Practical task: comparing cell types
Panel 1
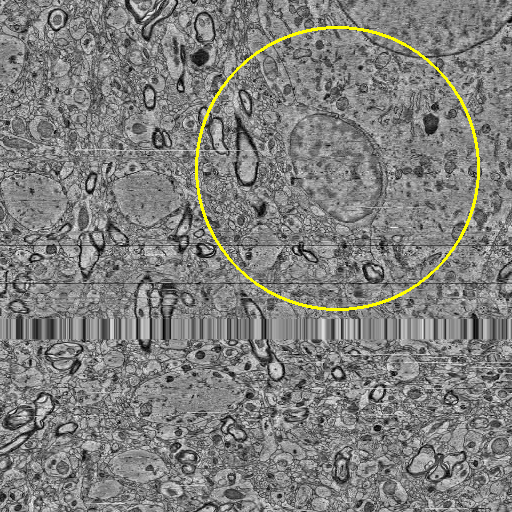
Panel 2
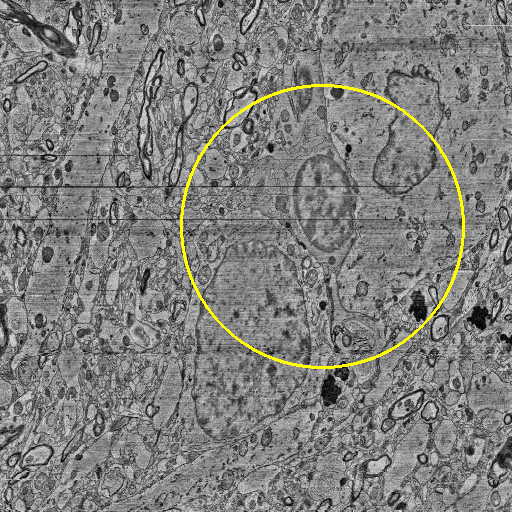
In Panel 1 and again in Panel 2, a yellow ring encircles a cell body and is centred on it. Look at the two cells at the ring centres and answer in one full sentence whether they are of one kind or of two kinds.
The two cells sitting at the ring centres of Panels 1 and 2 are of one kind.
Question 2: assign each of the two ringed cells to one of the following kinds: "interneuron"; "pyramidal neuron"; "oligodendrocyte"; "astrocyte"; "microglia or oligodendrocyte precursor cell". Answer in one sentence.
Each cell, in the first picture and the second, is an oligodendrocyte.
